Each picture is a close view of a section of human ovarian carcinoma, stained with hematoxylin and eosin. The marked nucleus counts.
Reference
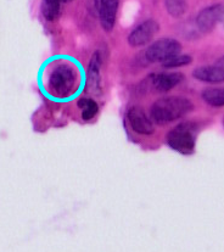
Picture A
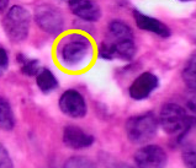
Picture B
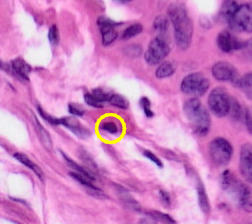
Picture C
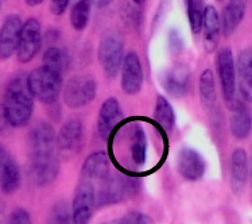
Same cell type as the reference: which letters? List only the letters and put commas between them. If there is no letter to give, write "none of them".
A, C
